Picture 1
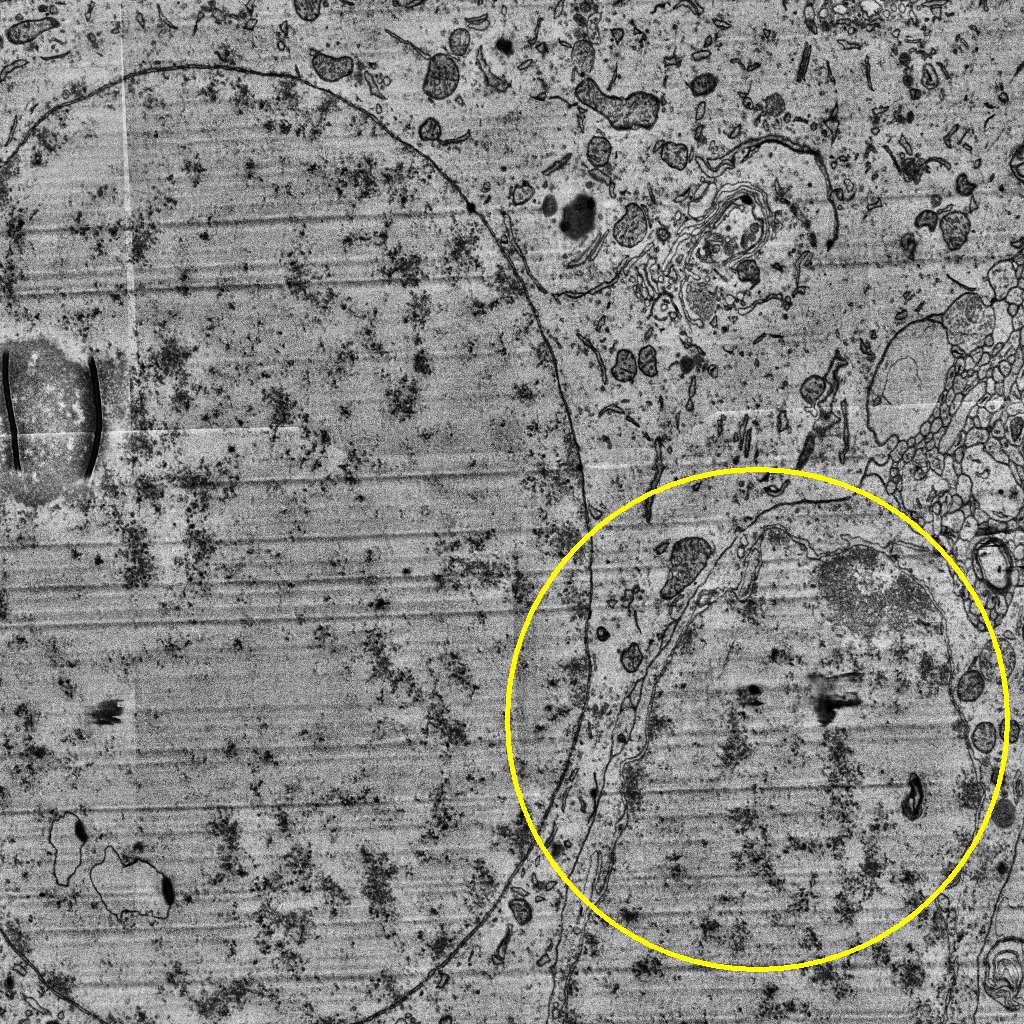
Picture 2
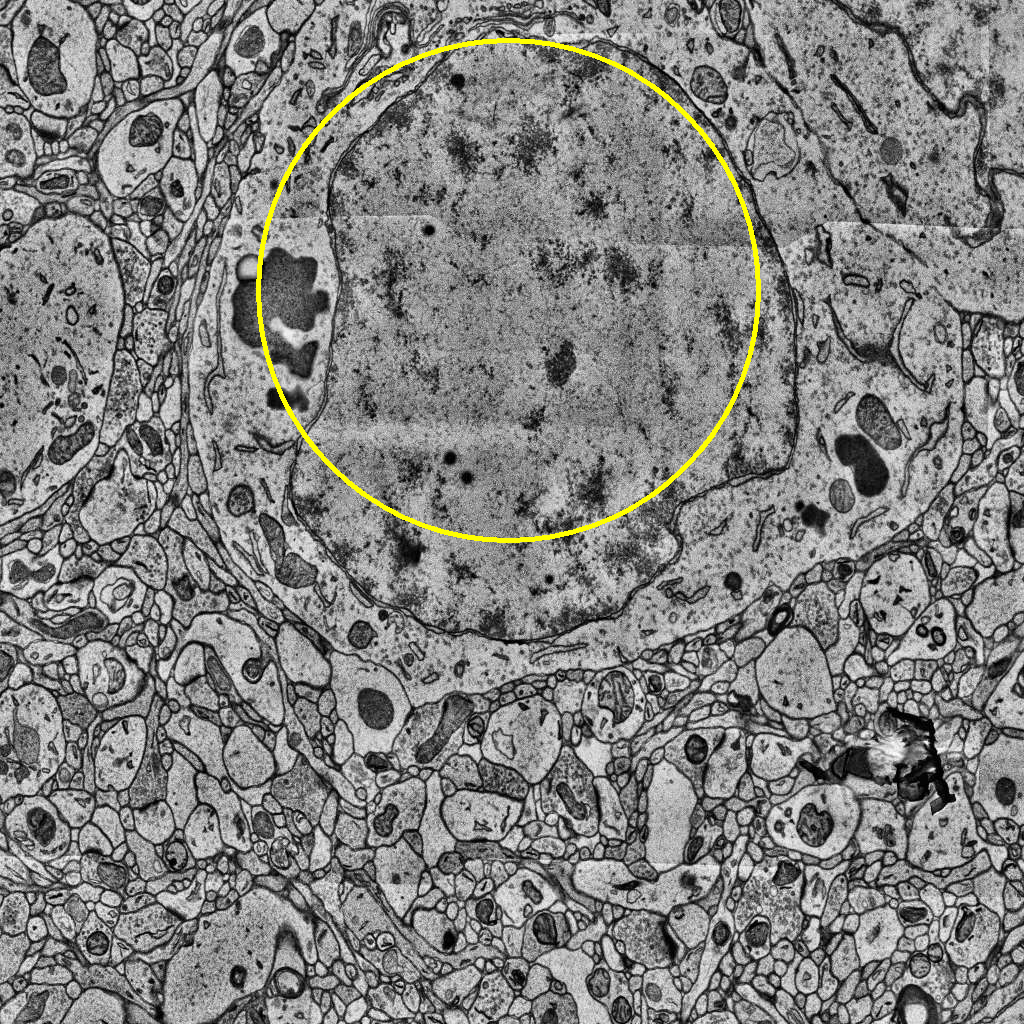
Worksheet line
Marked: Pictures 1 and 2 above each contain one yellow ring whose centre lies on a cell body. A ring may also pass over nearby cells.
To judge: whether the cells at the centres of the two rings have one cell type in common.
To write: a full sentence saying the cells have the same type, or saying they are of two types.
The cells at the centres of the rings in Picture 1 and Picture 2 have the same type.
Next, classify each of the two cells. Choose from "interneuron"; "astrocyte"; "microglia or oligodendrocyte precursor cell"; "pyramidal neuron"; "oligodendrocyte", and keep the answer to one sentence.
The ring centre holds an interneuron in each of the two pictures.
